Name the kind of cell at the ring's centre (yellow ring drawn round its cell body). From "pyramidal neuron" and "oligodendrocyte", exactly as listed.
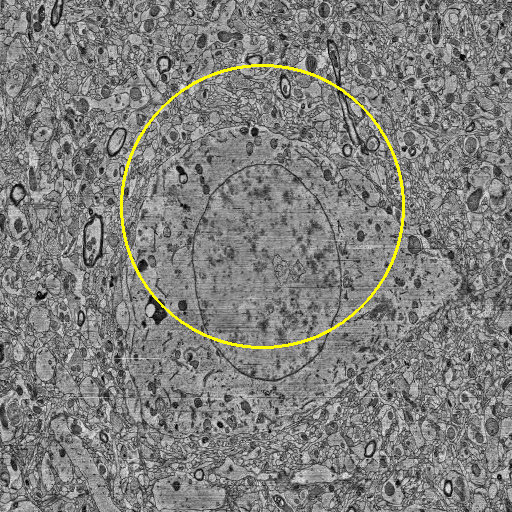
pyramidal neuron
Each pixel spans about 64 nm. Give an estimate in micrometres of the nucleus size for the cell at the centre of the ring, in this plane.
The nucleus appears roughly 14 by 10 micrometres in this plane.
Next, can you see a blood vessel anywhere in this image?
No, there is no blood vessel.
